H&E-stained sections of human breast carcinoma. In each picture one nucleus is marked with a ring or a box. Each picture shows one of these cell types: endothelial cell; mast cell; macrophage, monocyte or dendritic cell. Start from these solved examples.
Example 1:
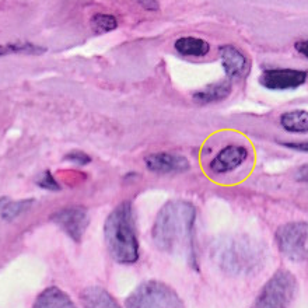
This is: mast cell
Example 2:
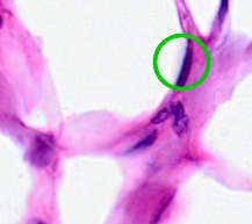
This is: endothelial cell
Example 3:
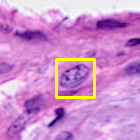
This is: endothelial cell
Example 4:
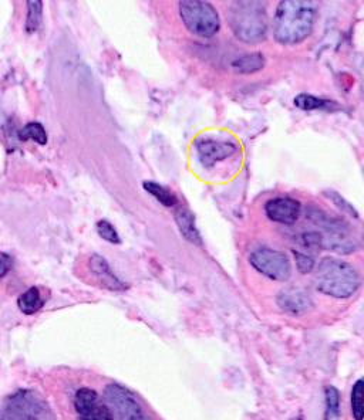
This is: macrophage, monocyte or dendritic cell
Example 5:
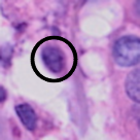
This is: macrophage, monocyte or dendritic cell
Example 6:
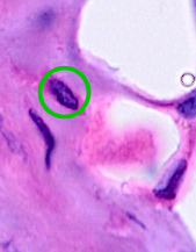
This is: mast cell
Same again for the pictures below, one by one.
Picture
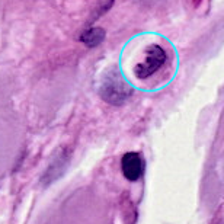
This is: macrophage, monocyte or dendritic cell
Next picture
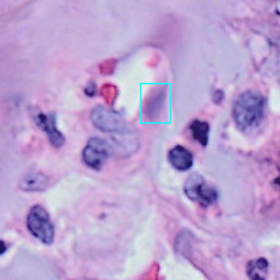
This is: endothelial cell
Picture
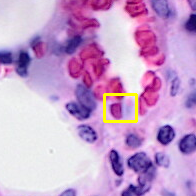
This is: endothelial cell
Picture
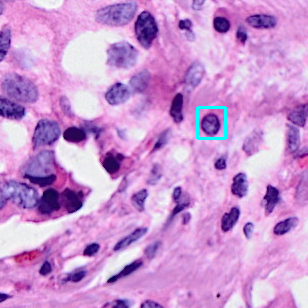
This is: mast cell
